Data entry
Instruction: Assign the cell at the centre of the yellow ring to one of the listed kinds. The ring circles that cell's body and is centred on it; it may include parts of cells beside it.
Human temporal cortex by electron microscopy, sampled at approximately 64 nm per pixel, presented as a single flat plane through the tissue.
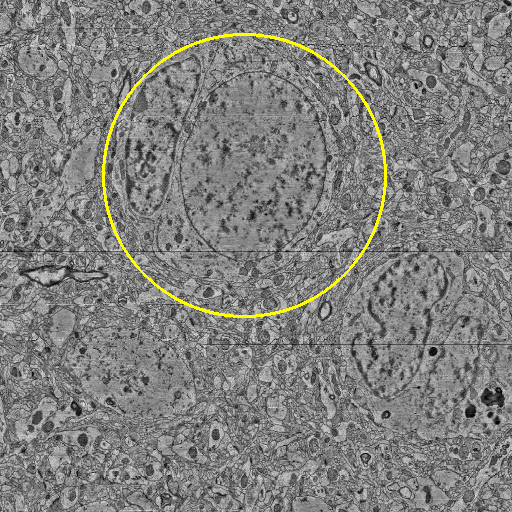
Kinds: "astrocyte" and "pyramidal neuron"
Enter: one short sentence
The centre of the ring falls on a pyramidal neuron.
